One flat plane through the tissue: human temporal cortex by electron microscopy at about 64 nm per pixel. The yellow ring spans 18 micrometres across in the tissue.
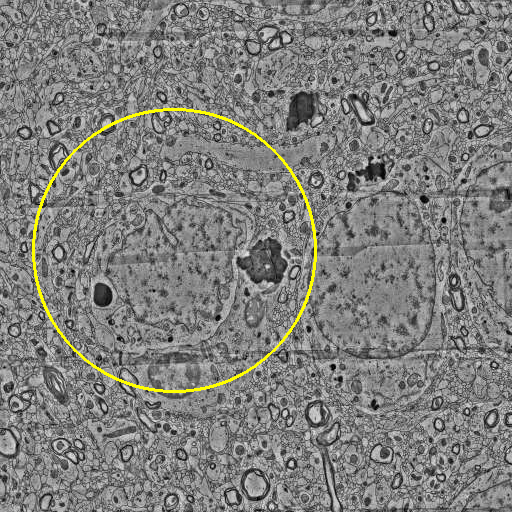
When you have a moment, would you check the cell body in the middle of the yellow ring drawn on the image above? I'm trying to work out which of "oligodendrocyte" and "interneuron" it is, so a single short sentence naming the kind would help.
This cell body belongs to an interneuron.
